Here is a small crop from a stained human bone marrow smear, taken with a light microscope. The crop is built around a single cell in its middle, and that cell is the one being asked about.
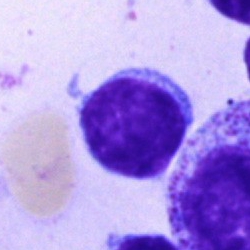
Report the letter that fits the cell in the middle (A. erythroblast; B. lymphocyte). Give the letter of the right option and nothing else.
B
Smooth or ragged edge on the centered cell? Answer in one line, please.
Not smooth, the outline of the cell is ragged or drawn out into projections.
